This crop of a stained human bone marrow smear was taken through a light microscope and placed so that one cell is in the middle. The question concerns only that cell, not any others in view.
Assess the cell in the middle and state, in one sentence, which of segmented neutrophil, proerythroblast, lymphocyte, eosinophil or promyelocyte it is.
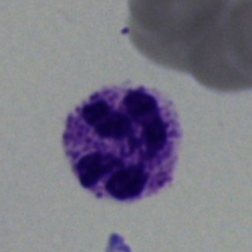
Centred in the crop is a segmented neutrophil.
